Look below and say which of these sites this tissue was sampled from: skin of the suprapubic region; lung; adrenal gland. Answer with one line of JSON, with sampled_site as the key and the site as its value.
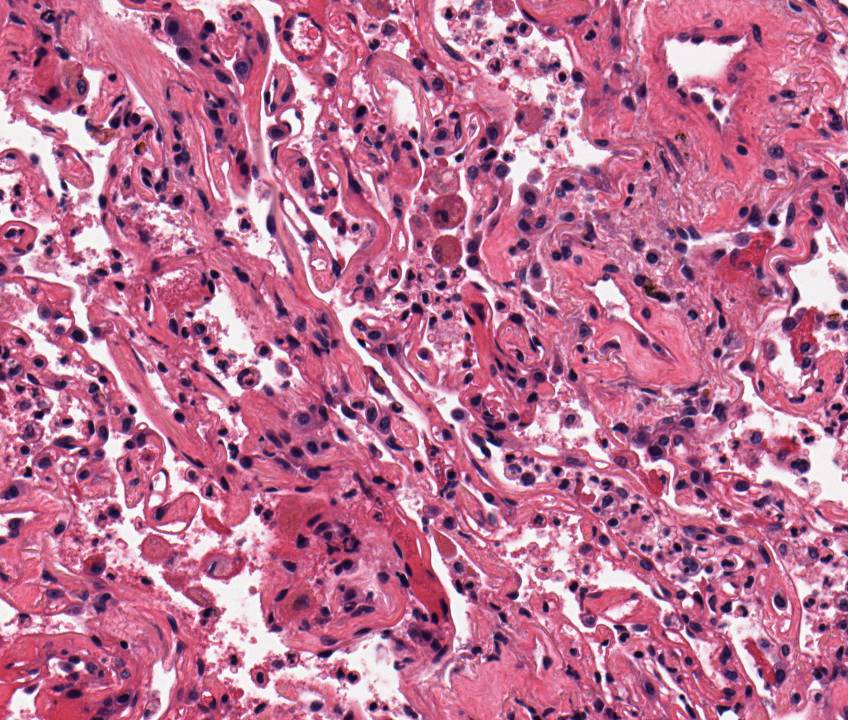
{"sampled_site": "lung"}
